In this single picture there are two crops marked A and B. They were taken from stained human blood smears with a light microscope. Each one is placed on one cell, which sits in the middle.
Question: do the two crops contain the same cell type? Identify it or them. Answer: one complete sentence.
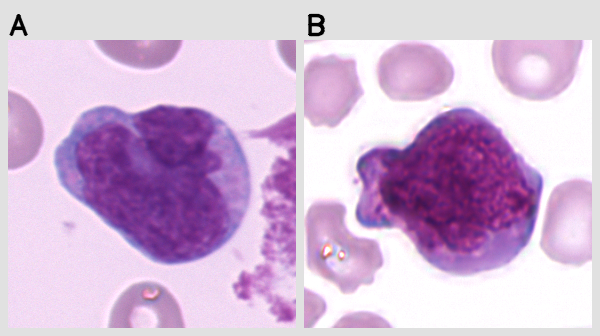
Yes, the two crops show atypical promyelocytes, one cell each.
